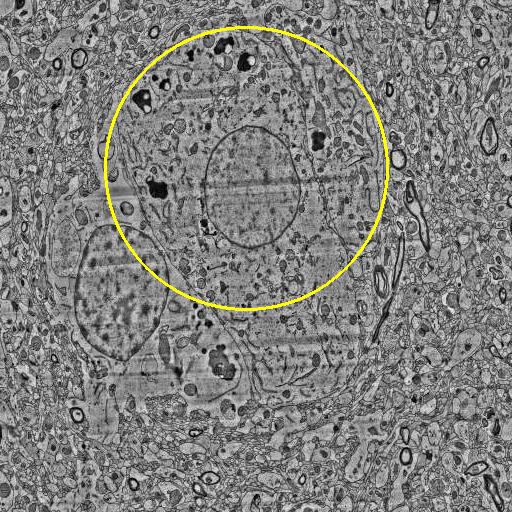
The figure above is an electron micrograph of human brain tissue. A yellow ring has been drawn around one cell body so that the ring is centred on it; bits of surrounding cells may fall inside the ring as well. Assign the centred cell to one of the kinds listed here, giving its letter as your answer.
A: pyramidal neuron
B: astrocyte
A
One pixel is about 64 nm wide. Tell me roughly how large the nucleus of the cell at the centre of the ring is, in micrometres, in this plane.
About 8 by 6 micrometers, in this plane.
